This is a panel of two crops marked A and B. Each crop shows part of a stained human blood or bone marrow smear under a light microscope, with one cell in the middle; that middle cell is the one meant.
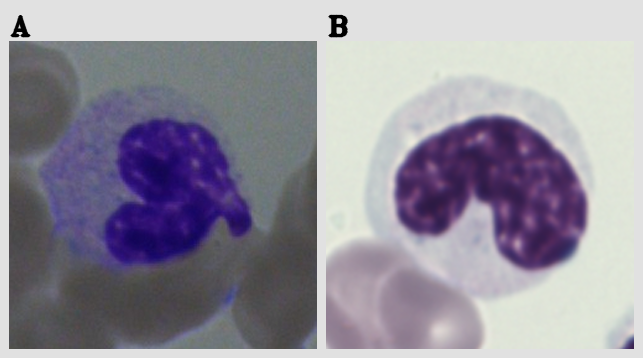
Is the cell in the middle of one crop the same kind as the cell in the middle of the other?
yes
